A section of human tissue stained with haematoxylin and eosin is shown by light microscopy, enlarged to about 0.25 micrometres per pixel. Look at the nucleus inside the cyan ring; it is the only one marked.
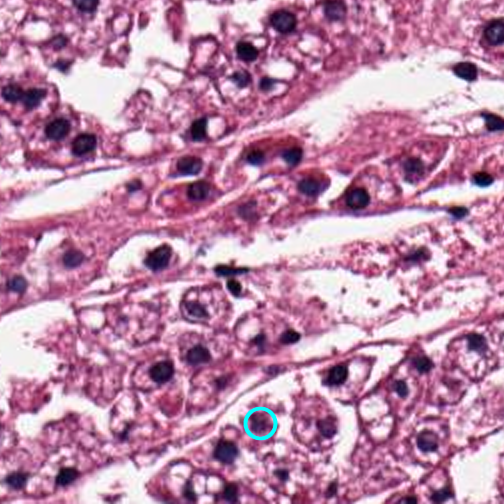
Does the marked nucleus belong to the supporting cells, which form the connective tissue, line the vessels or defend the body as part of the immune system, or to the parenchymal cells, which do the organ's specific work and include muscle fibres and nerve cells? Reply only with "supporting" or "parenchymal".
parenchymal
